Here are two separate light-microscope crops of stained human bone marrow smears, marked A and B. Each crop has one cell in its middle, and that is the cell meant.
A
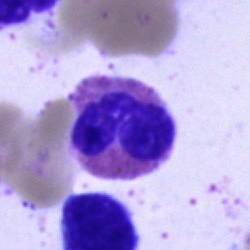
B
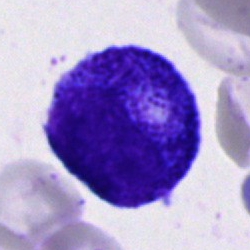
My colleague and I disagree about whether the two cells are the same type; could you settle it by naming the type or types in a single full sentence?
No, the labels go like this: crop A is an eosinophil and crop B is a promyelocyte.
